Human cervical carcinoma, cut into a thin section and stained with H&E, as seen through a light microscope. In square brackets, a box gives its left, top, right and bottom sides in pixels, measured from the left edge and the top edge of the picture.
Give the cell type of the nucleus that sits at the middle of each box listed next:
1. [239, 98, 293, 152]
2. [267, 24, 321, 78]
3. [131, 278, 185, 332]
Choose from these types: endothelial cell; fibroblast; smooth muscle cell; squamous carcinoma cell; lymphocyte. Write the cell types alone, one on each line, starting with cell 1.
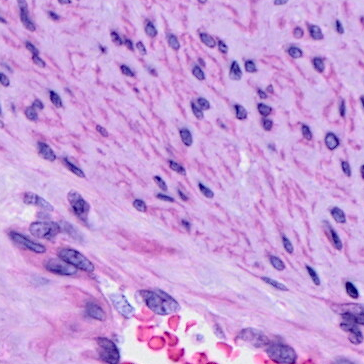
smooth muscle cell
smooth muscle cell
endothelial cell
